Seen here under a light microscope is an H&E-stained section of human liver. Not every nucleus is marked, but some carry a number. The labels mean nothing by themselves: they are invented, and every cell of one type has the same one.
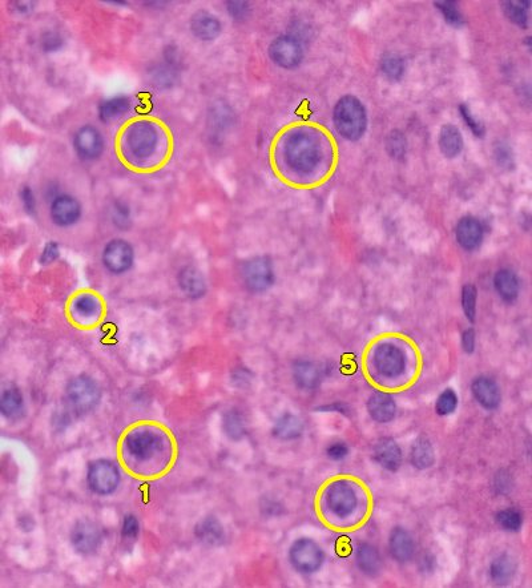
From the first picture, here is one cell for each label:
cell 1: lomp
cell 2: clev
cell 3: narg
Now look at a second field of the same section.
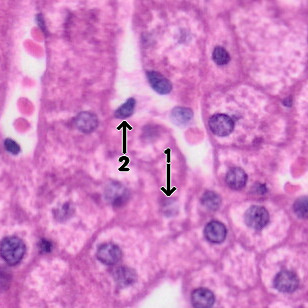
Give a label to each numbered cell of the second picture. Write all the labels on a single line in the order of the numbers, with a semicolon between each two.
narg; clev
